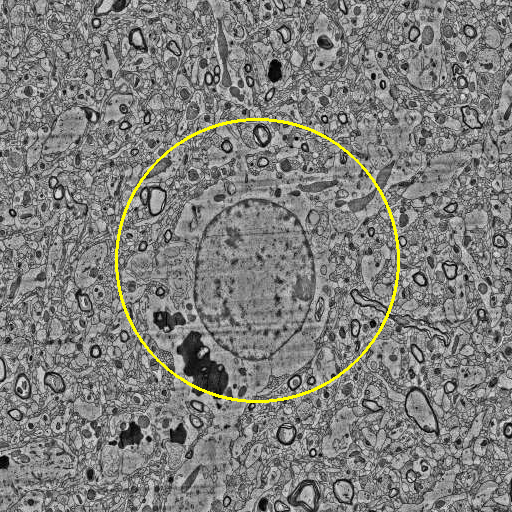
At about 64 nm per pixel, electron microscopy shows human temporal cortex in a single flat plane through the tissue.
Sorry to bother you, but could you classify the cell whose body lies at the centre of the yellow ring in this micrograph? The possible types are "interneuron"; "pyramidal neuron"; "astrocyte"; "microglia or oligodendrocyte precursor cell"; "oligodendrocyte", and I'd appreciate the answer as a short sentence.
The ringed cell body is that of an astrocyte.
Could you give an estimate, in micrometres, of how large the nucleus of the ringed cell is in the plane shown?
In this plane, about 10 micrometres in length and 8 in width.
